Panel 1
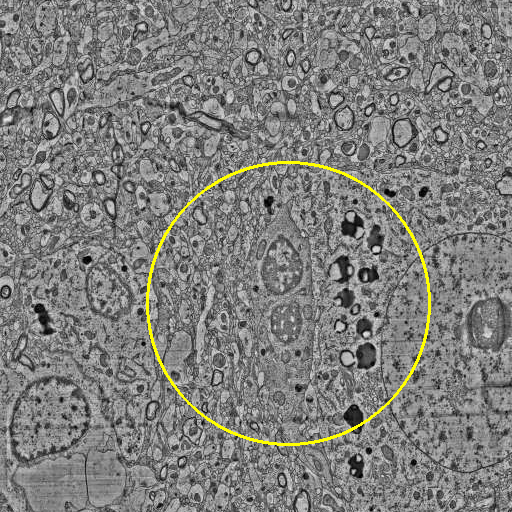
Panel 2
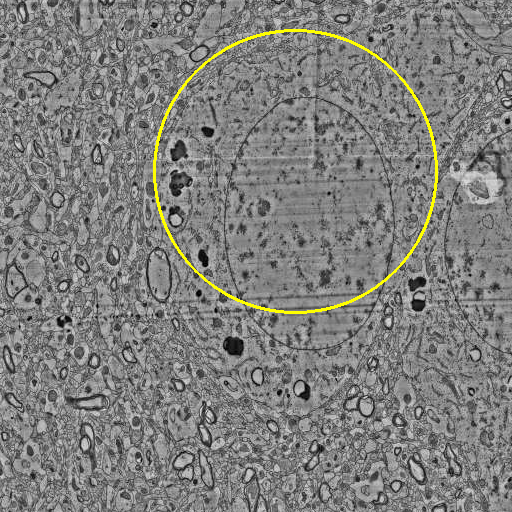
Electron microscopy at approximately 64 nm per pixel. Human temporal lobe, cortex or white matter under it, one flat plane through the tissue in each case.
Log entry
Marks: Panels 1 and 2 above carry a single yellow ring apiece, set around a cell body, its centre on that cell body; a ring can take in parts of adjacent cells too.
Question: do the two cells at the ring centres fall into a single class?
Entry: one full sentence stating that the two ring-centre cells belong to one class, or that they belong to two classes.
The two ring-centre cells in Panels 1 and 2 belong to two classes.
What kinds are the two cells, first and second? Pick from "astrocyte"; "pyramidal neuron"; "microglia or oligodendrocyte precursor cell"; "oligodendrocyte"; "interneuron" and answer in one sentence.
The second picture holds a pyramidal neuron in its ring, and the first holds an oligodendrocyte.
